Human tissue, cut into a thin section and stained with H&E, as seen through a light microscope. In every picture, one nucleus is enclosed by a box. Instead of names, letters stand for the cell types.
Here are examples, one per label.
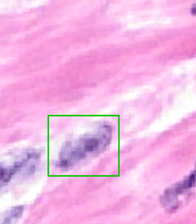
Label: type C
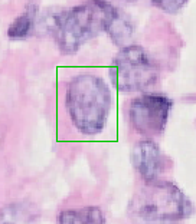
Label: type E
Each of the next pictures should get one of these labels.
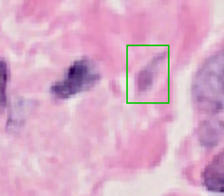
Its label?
type C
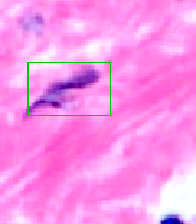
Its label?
type C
